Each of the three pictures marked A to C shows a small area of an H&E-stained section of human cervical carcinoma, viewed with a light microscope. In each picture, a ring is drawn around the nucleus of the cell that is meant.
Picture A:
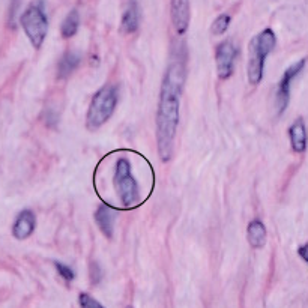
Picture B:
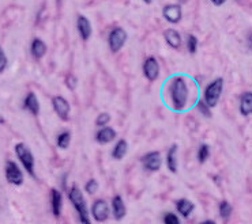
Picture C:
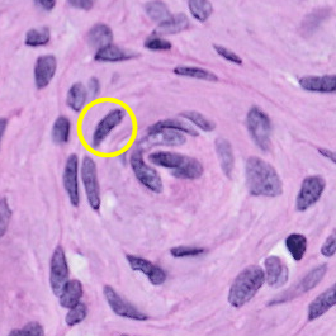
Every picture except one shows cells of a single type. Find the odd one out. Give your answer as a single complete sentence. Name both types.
Picture C differs, because its cell is a fibroblast and the rest are smooth muscle cells.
